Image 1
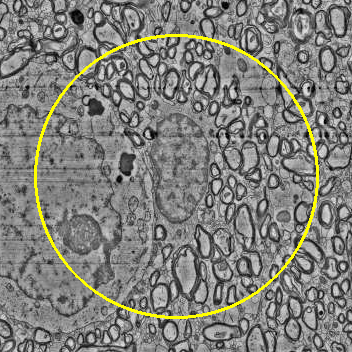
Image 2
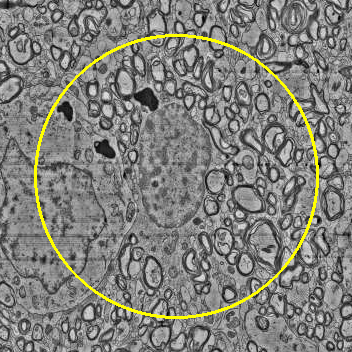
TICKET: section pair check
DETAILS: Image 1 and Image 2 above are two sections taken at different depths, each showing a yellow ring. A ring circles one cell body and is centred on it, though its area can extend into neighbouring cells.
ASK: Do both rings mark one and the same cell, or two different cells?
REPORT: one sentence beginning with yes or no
Yes, the rings do not mark different cells but one cell.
